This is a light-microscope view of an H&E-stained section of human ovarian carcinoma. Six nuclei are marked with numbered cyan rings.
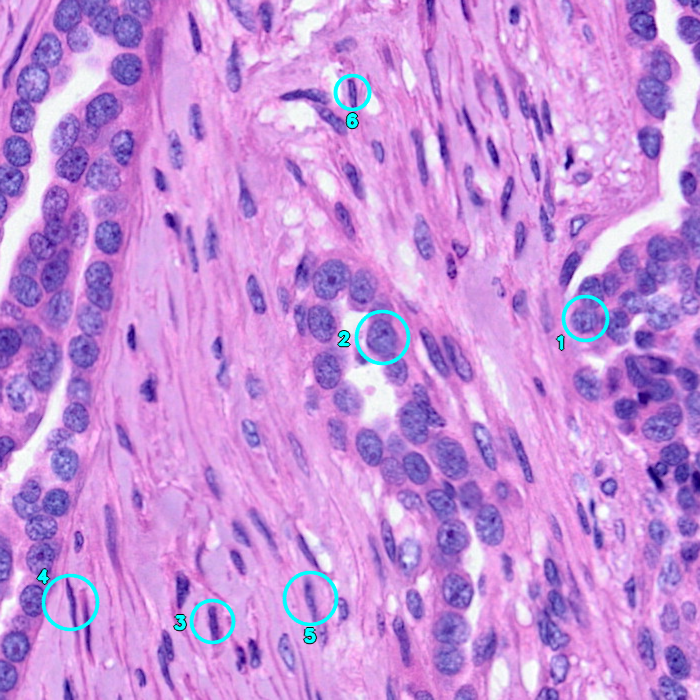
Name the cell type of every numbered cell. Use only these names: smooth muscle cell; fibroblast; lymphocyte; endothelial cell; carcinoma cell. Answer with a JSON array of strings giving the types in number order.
["carcinoma cell", "carcinoma cell", "fibroblast", "fibroblast", "fibroblast", "fibroblast"]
